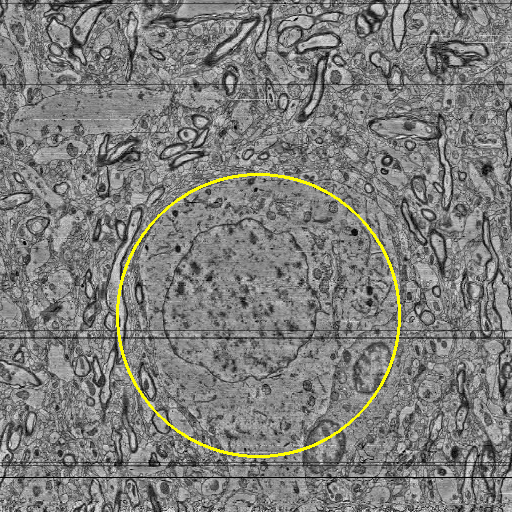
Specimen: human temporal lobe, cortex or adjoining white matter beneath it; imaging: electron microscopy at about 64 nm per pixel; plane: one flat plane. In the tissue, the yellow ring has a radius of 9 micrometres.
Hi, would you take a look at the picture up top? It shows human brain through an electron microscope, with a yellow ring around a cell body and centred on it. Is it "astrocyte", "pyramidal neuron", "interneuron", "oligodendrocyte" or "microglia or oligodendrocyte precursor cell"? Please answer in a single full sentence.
The best fit for the cell in the middle of the ring is a pyramidal neuron, I reckon.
